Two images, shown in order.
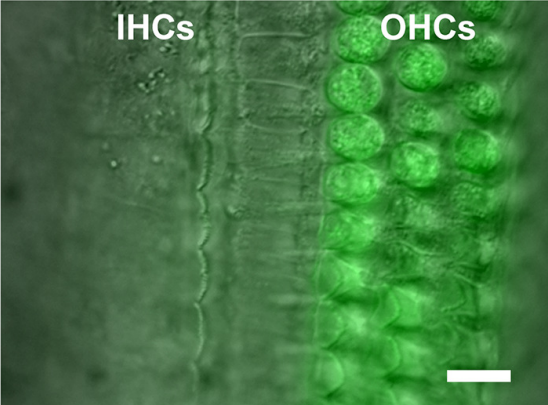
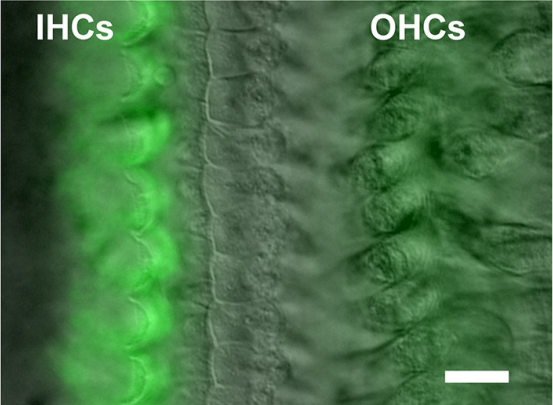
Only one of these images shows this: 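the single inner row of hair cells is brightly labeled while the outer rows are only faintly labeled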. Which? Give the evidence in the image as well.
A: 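First image: the single row of cells on the left is barely green, while the rows of rounded cells on the right are bright green. Second image: the single row of cells on the left is bright green, while the rows of cells on the right are only dimly green. That points to this answer: the second image.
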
